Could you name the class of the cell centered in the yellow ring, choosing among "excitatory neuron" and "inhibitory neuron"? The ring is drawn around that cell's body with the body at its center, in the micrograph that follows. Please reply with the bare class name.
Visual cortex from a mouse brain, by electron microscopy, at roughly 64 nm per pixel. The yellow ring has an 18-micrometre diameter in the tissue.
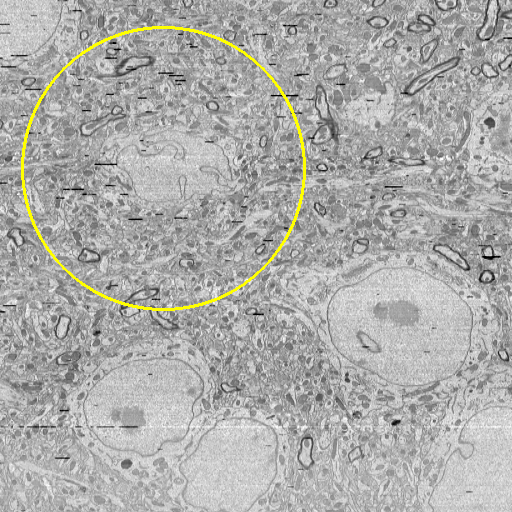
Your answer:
inhibitory neuron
